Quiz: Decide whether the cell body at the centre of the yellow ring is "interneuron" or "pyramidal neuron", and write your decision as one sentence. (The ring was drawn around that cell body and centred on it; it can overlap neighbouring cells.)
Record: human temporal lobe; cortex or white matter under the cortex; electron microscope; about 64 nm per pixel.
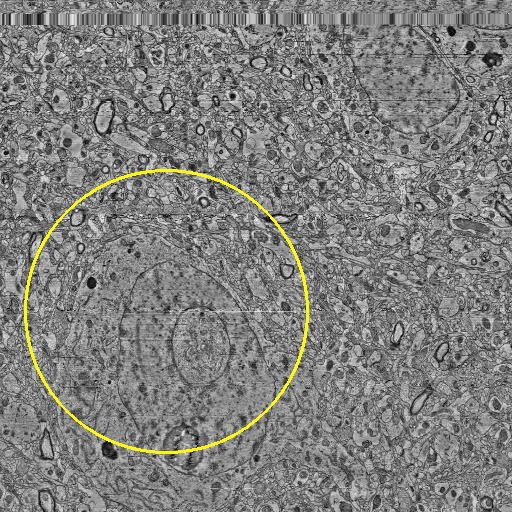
The cell the ring is centred on is an interneuron.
